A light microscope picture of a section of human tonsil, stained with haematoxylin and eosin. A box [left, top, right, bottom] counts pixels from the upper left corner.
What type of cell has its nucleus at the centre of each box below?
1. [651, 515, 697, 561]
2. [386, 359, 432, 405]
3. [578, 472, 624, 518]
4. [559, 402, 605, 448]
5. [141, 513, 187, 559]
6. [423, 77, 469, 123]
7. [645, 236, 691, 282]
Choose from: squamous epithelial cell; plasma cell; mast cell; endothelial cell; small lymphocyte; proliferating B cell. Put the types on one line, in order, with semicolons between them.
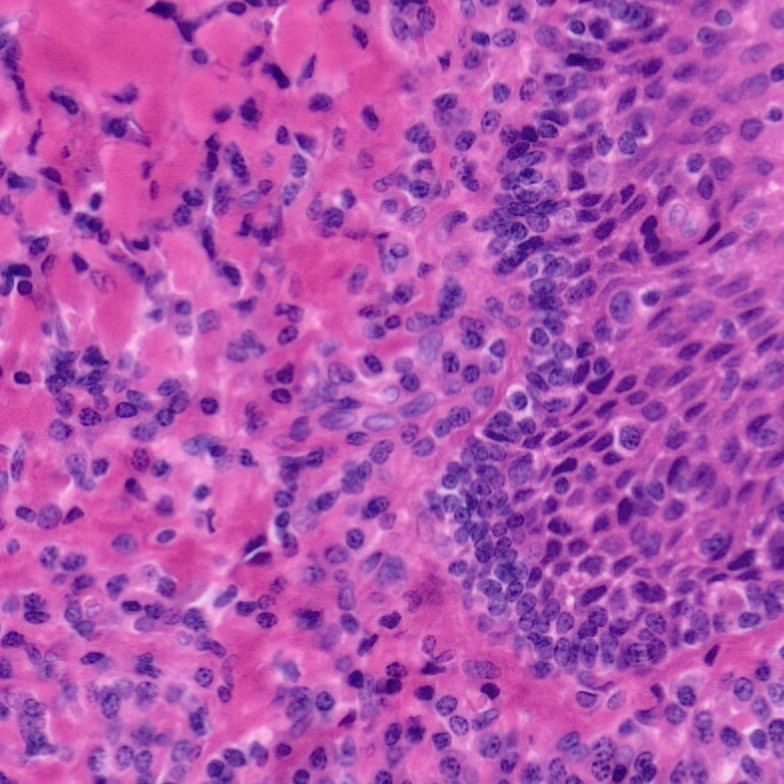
squamous epithelial cell; plasma cell; squamous epithelial cell; squamous epithelial cell; mast cell; plasma cell; squamous epithelial cell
